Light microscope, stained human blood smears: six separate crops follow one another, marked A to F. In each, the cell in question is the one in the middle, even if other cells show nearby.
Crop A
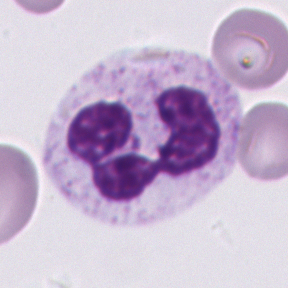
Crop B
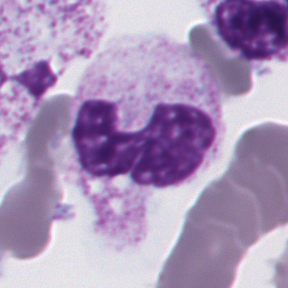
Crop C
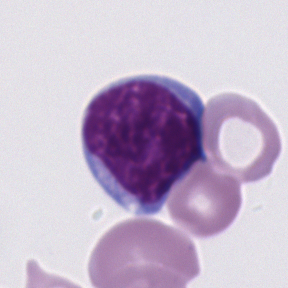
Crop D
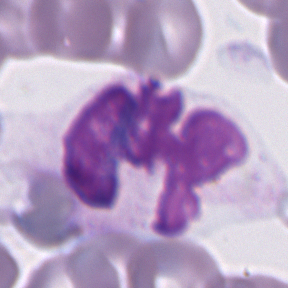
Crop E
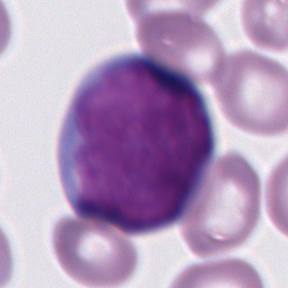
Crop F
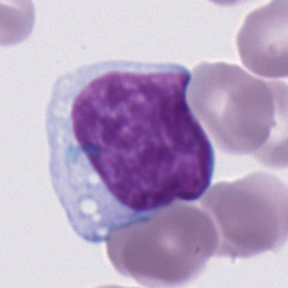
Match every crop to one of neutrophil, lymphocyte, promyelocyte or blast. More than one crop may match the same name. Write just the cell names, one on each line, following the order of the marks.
neutrophil
neutrophil
lymphocyte
neutrophil
blast
blast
